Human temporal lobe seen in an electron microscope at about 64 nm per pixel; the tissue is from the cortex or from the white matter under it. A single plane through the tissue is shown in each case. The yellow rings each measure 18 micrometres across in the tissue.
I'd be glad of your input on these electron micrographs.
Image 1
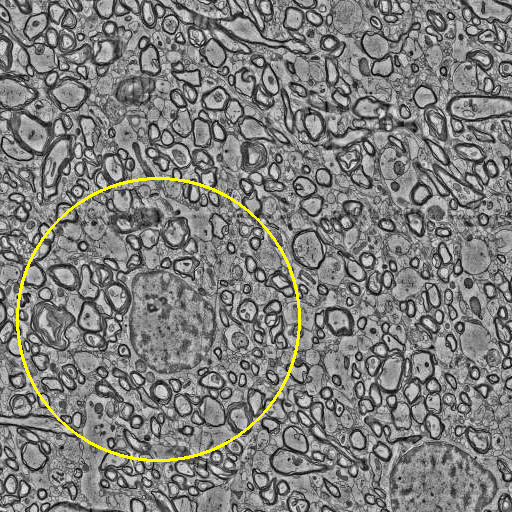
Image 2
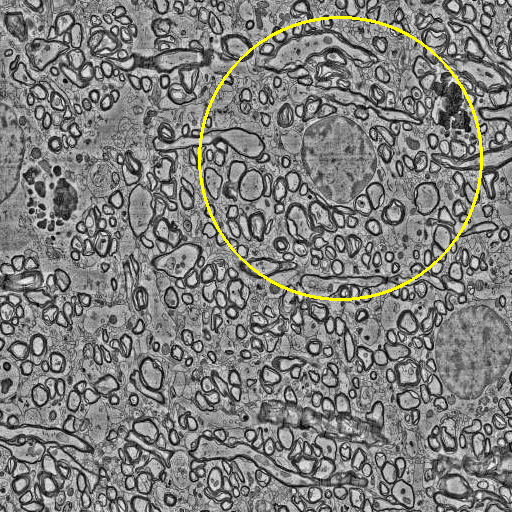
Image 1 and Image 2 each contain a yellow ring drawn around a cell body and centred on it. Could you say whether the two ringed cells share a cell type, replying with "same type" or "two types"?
two types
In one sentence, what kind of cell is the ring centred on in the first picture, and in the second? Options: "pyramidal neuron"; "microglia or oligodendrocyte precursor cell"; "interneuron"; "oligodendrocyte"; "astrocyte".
The cell at the centre of the second ring is a microglial cell or oligodendrocyte precursor cell; the first ring's cell is an oligodendrocyte.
